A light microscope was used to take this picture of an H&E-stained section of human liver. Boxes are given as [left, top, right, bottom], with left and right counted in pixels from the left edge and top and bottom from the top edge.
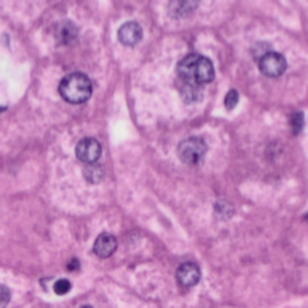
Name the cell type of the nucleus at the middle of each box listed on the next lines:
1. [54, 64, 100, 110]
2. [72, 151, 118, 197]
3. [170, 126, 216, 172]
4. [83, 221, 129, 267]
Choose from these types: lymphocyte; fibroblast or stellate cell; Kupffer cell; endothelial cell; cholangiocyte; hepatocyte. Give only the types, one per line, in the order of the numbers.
hepatocyte
cholangiocyte
hepatocyte
hepatocyte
